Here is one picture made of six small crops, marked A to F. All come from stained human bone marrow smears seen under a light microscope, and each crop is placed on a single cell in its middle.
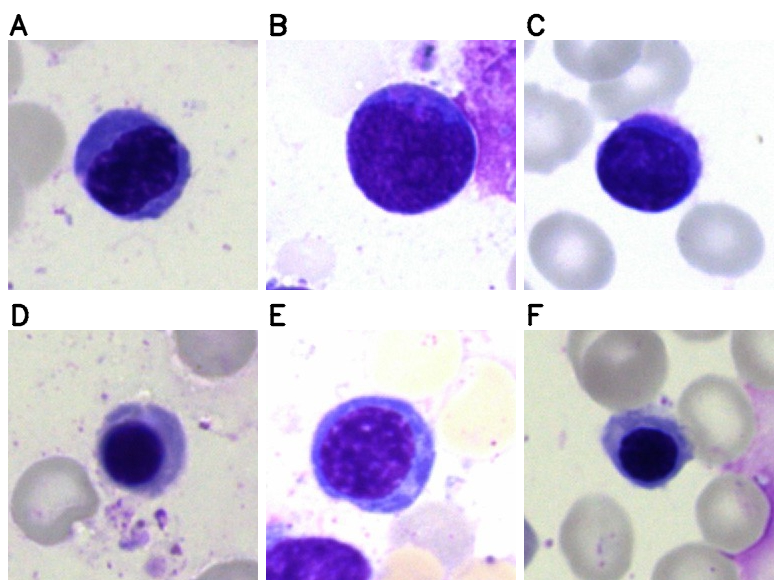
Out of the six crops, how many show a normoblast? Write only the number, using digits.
4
